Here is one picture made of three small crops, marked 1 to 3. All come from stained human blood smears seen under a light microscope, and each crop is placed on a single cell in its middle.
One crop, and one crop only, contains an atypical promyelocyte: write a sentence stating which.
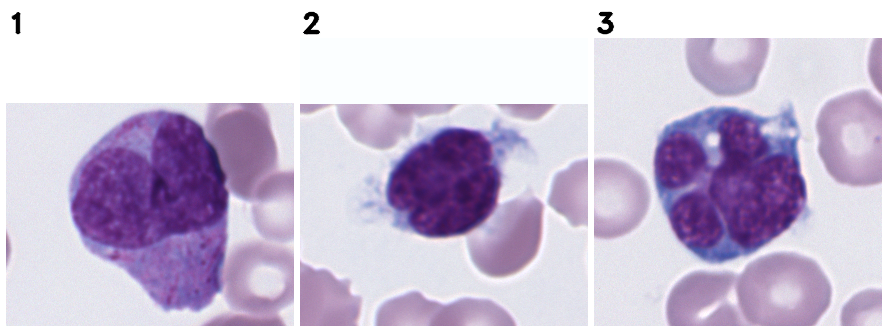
The one that shows an atypical promyelocyte is crop 1.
